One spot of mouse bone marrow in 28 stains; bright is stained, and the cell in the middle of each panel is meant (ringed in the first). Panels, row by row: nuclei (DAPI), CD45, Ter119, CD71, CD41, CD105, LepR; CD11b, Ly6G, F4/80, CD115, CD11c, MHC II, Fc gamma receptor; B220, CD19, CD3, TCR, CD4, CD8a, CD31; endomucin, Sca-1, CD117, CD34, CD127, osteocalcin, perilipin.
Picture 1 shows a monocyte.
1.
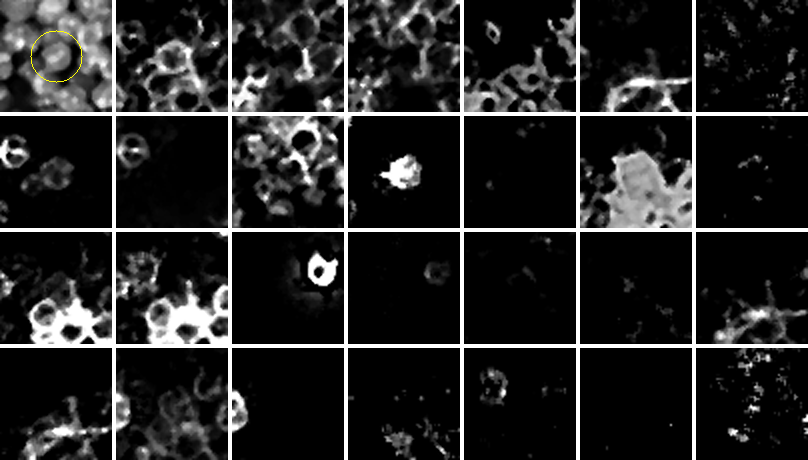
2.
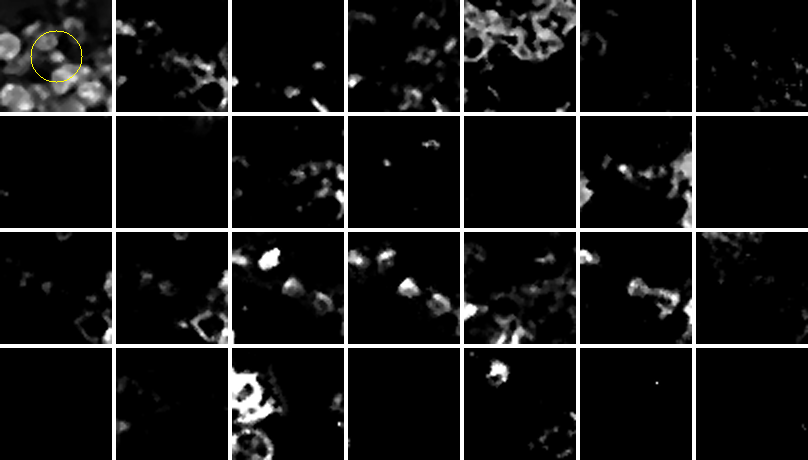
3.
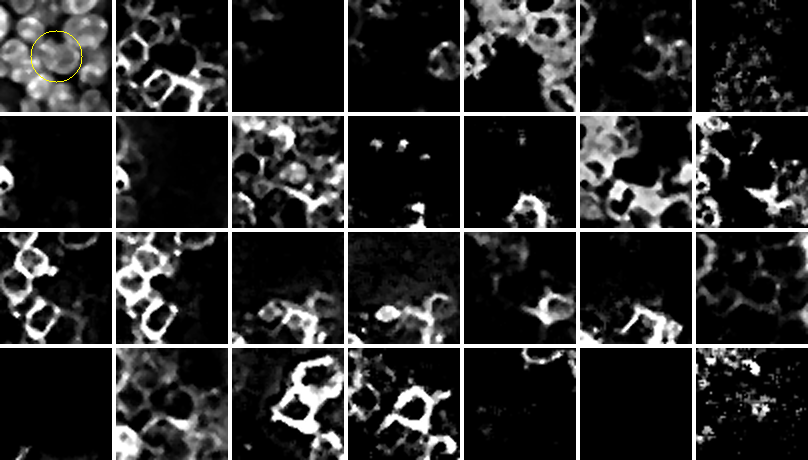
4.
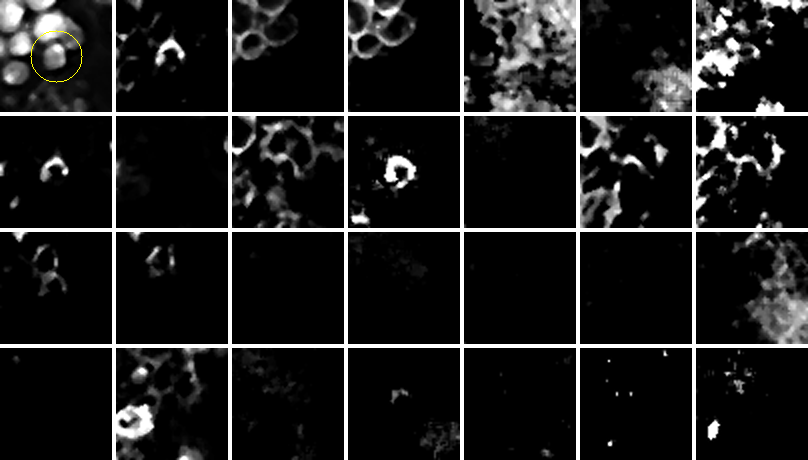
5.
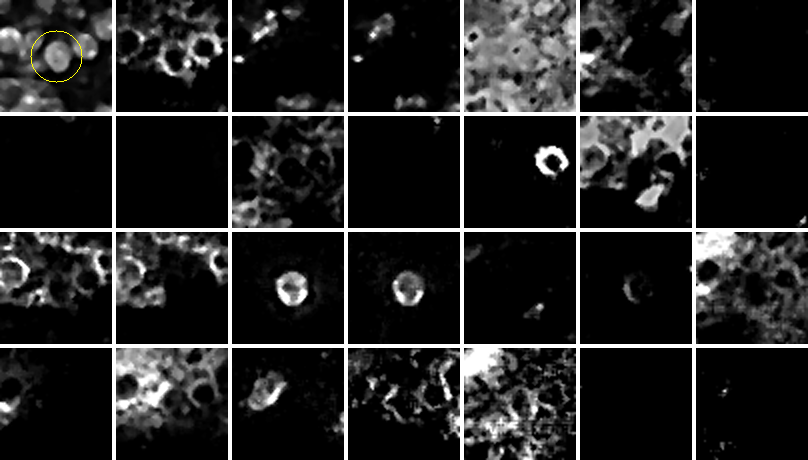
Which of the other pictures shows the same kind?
Picture 4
